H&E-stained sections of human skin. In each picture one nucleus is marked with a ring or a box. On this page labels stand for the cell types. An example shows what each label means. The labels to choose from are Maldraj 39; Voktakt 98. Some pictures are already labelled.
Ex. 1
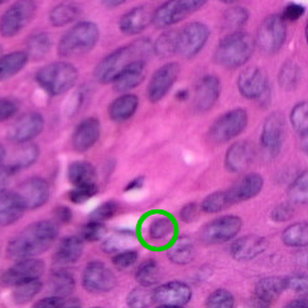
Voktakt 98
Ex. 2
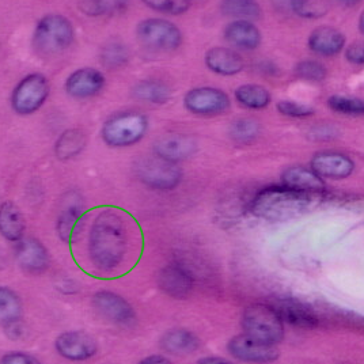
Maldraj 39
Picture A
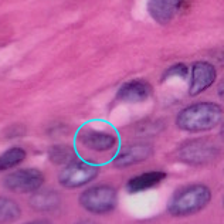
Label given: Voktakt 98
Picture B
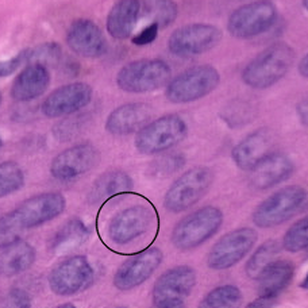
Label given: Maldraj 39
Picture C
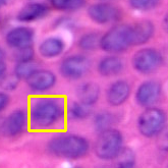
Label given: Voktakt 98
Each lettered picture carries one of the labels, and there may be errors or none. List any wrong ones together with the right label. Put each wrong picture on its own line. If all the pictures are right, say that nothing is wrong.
No label is wrong.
